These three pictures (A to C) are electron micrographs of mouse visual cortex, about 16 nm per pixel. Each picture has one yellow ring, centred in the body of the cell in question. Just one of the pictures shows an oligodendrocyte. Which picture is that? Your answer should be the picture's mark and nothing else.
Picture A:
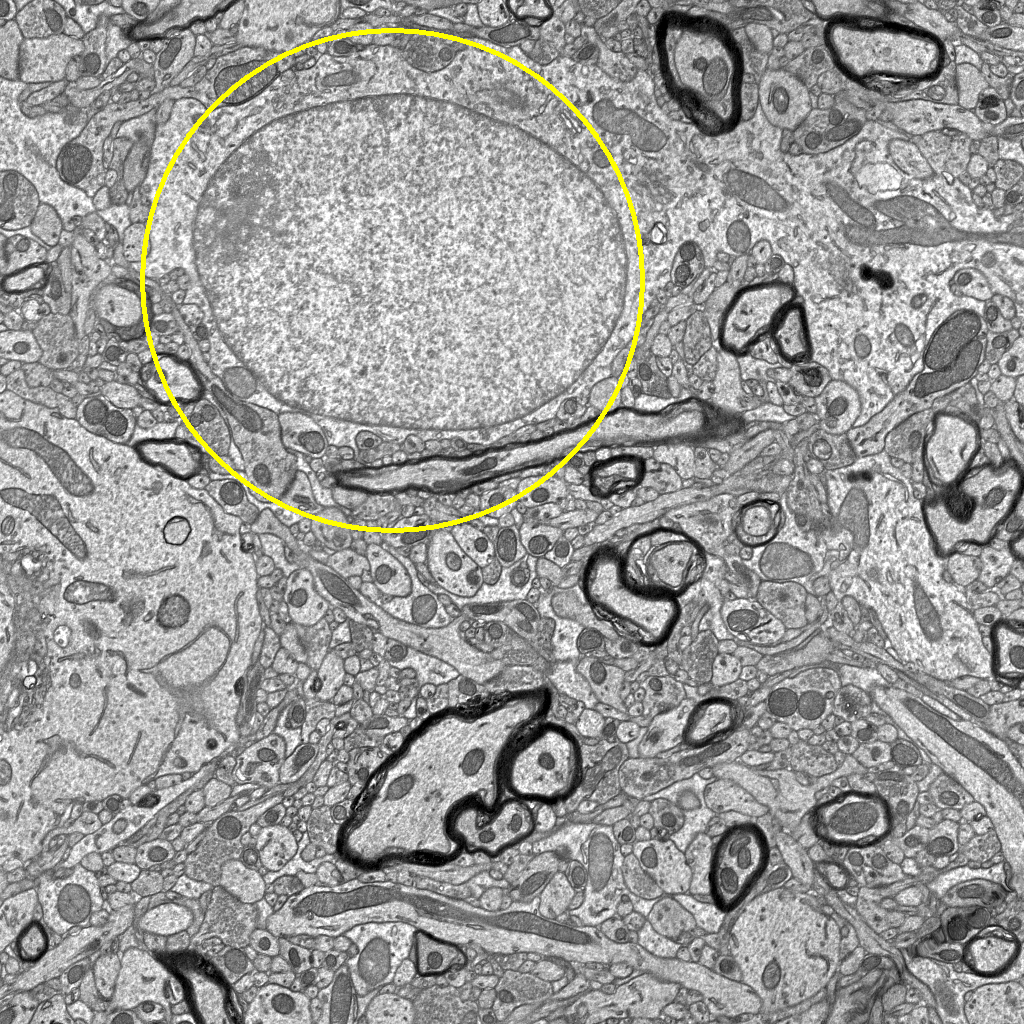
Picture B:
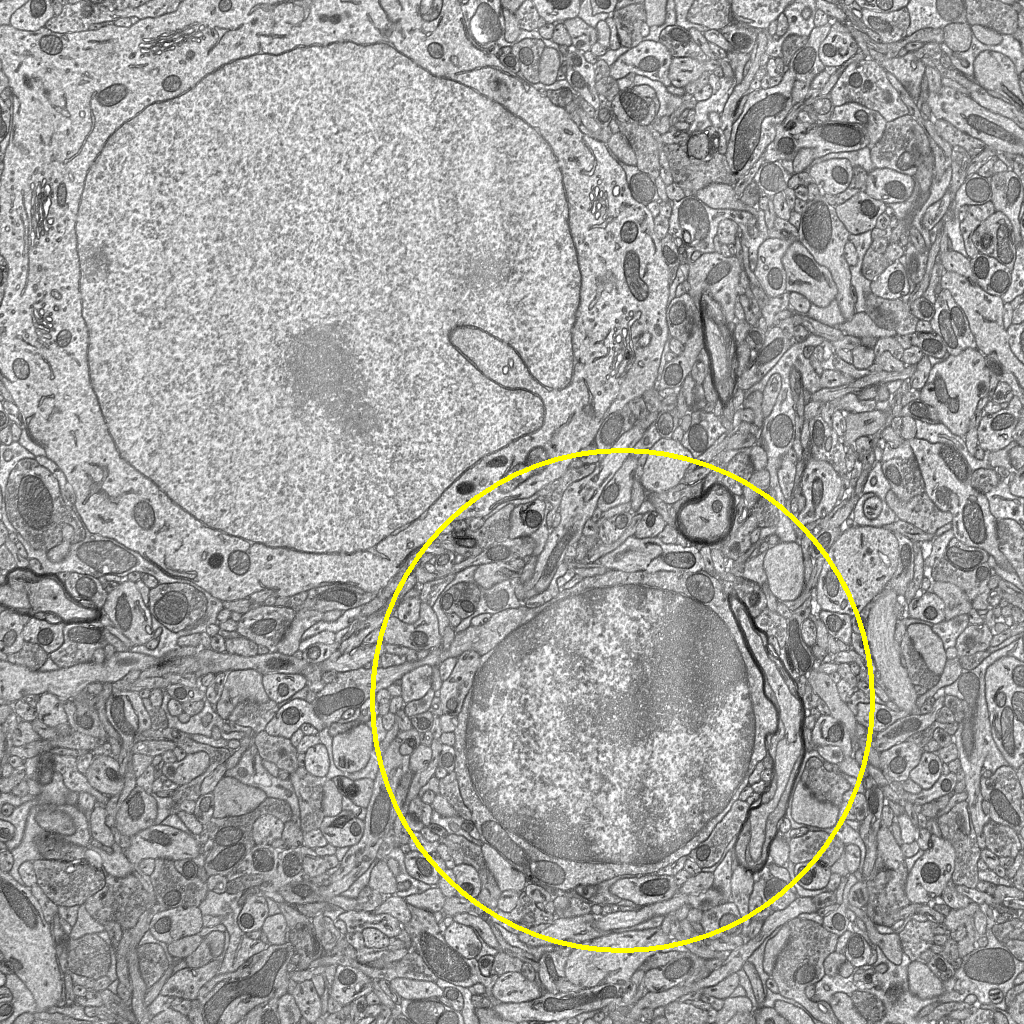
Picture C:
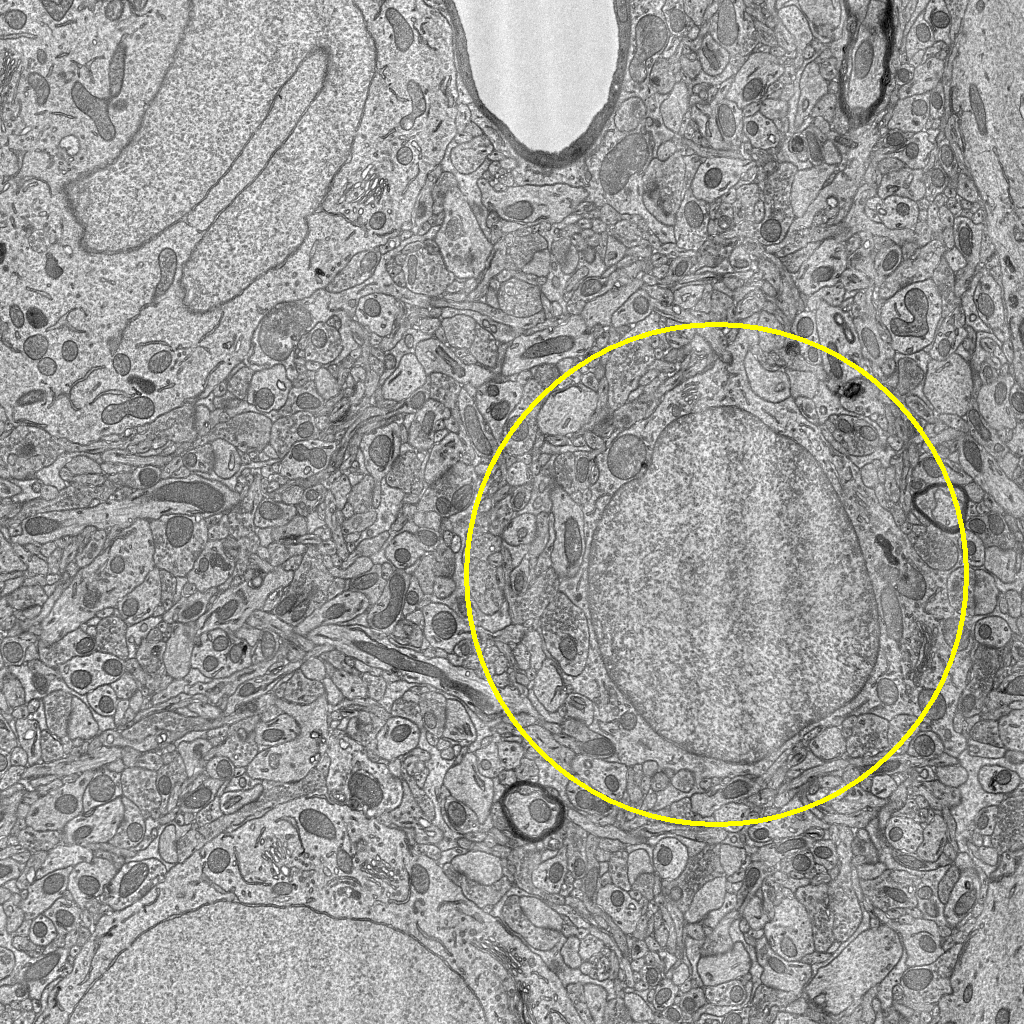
B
